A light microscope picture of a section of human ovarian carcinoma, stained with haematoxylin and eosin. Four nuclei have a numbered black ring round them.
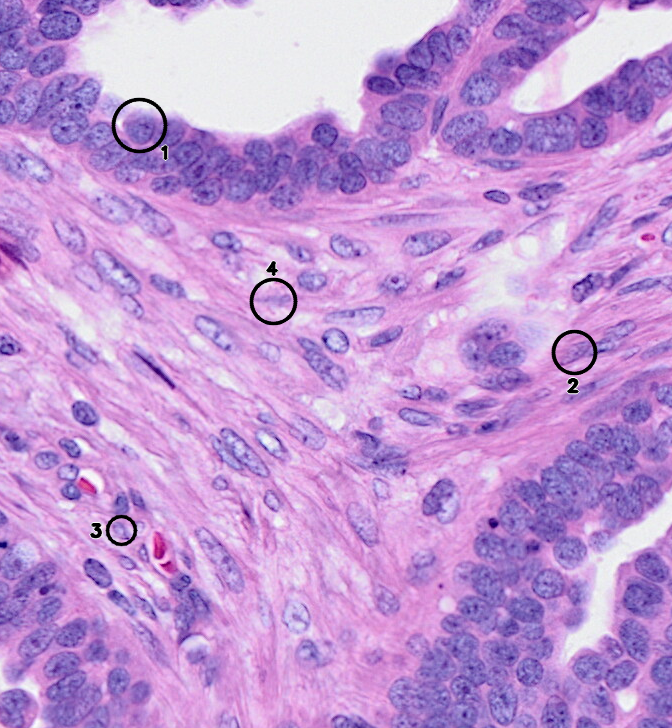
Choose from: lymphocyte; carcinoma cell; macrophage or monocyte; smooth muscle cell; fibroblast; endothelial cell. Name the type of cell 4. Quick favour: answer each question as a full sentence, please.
The identity of cell 4 is that of a fibroblast.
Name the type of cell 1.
At number 1, the marked cell is a carcinoma cell.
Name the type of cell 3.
The cell with the number 3 is a fibroblast.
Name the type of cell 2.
The one numbered 2 among the marked cells is a fibroblast.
